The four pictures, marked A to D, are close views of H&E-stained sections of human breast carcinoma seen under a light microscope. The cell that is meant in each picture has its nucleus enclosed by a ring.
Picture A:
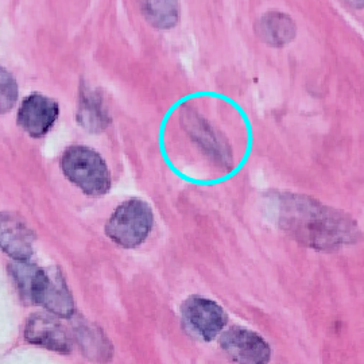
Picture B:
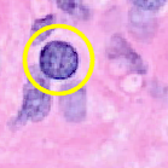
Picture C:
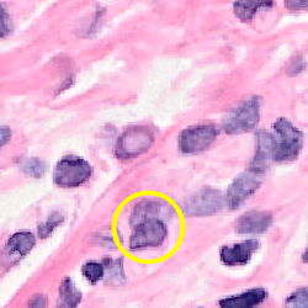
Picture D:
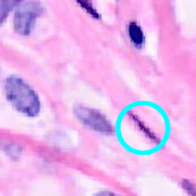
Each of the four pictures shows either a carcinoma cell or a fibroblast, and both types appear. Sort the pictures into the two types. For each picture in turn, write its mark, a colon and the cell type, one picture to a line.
A: fibroblast
B: carcinoma cell
C: carcinoma cell
D: fibroblast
